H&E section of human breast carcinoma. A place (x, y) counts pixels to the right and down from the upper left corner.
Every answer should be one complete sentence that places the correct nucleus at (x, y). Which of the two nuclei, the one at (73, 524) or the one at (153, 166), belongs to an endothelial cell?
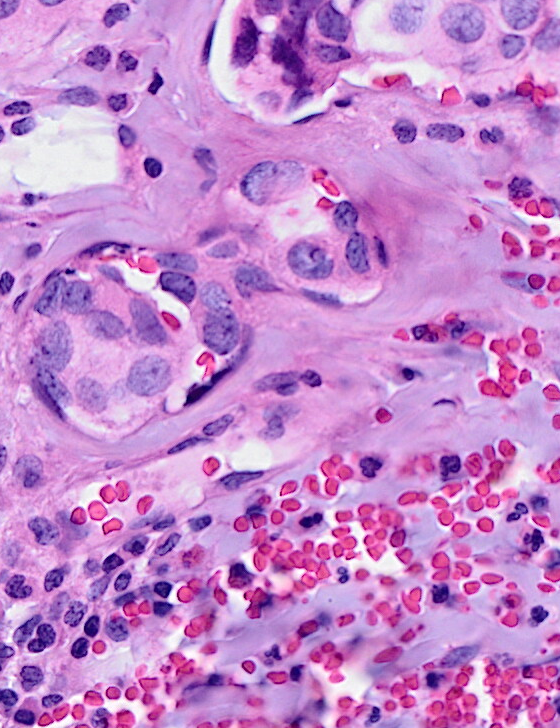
The nucleus that belongs to an endothelial cell is located at (73, 524).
